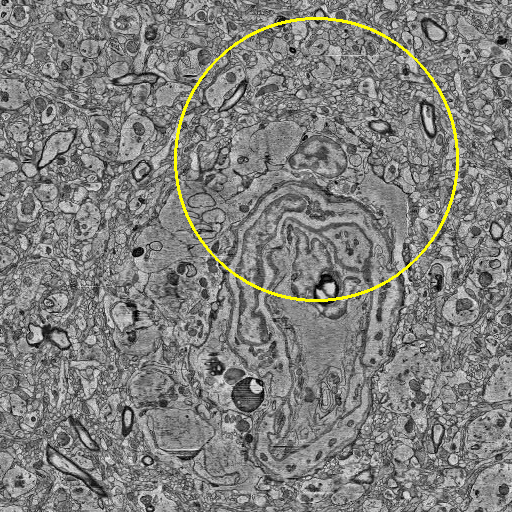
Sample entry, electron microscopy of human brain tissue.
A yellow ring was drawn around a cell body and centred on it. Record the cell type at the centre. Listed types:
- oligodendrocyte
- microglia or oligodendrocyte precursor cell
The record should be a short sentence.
The cell at the ring's centre is a microglial cell or oligodendrocyte precursor cell.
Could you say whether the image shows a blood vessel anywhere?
Yes, one shows.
